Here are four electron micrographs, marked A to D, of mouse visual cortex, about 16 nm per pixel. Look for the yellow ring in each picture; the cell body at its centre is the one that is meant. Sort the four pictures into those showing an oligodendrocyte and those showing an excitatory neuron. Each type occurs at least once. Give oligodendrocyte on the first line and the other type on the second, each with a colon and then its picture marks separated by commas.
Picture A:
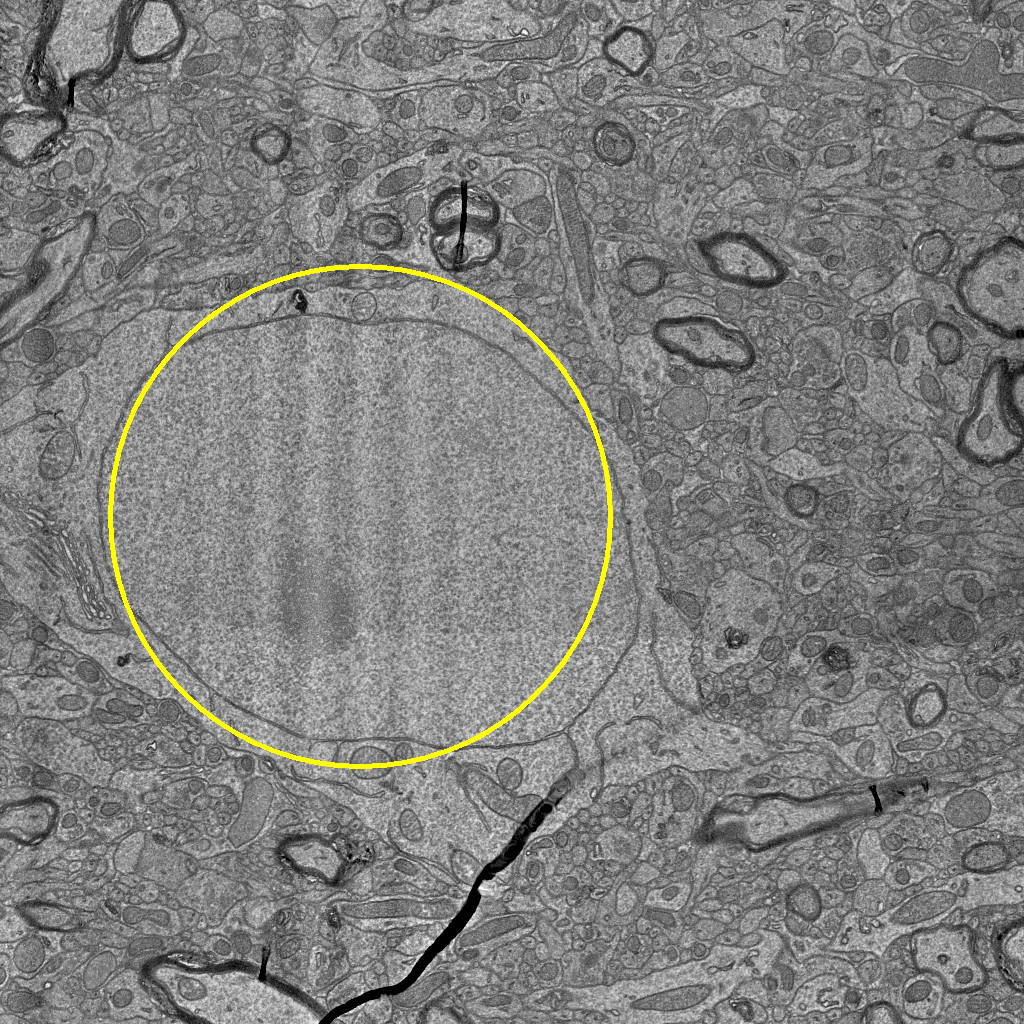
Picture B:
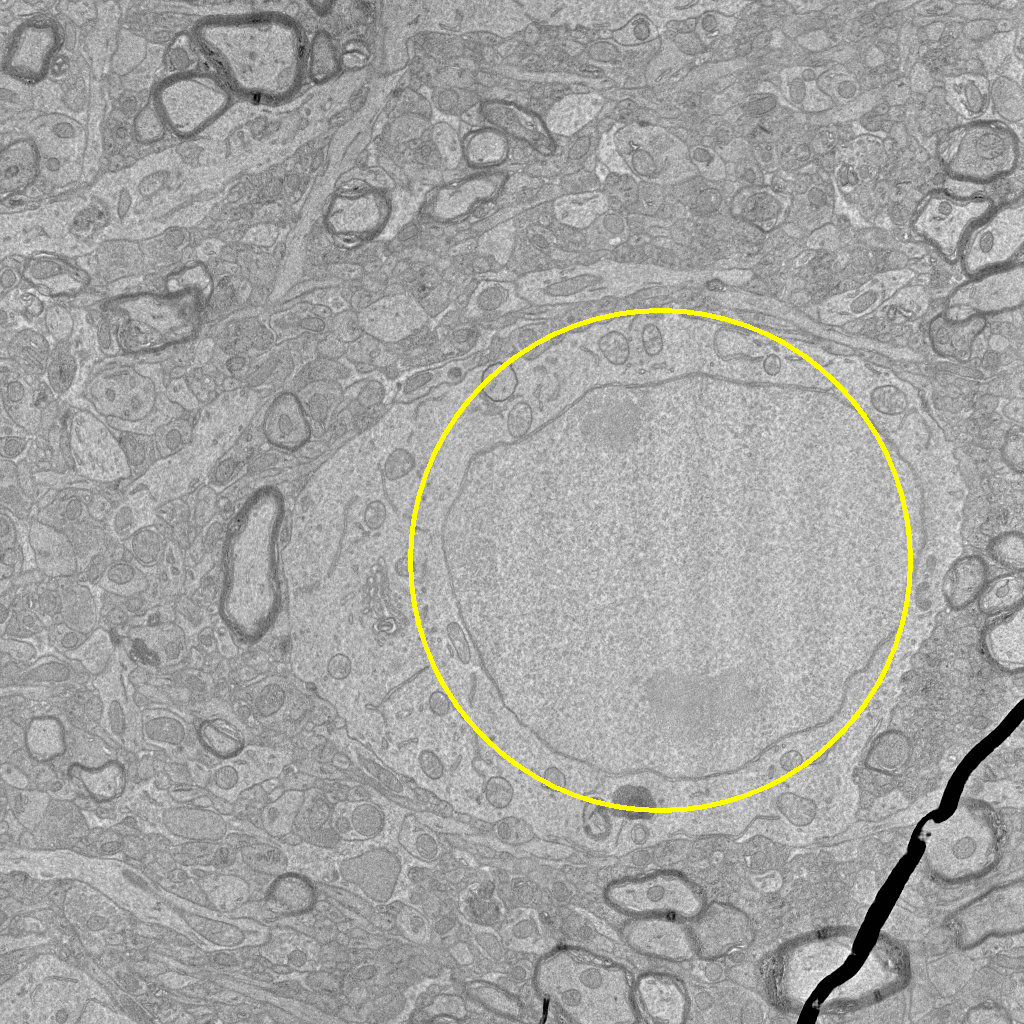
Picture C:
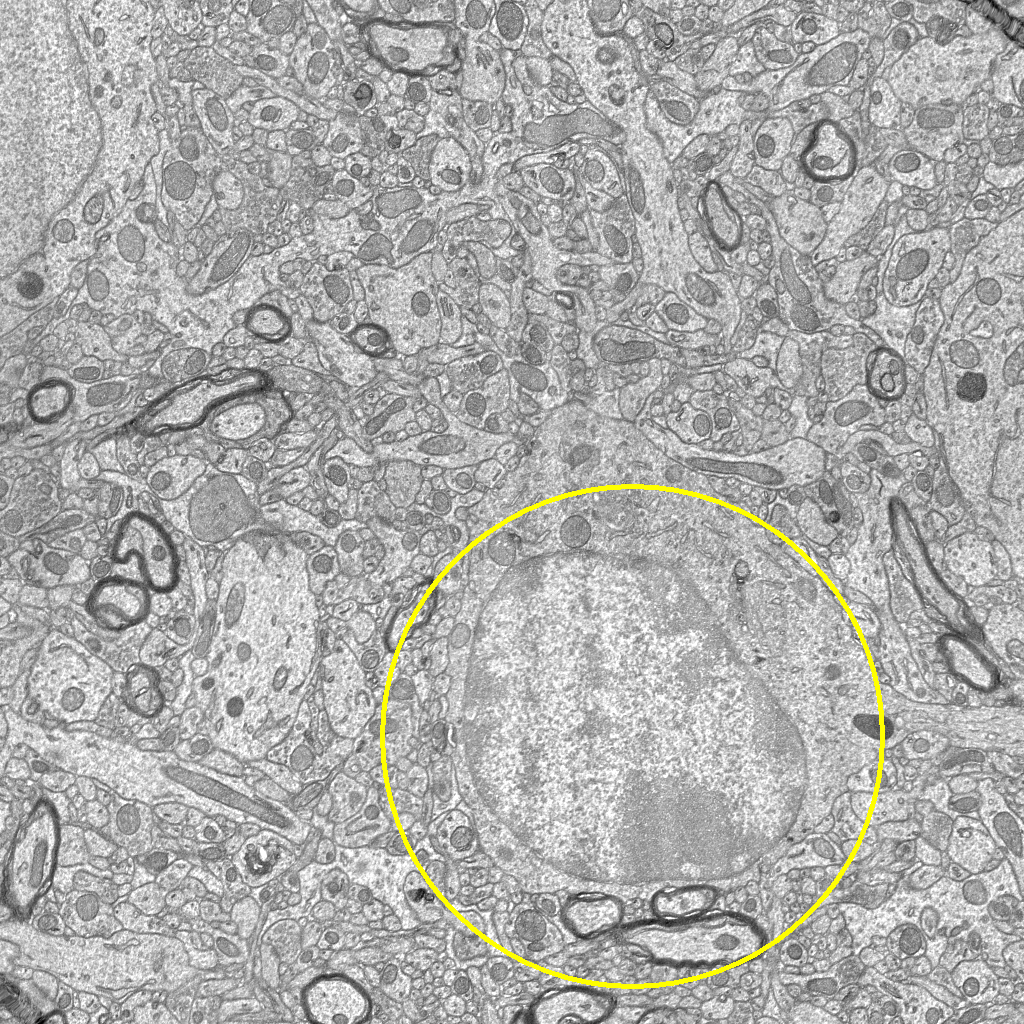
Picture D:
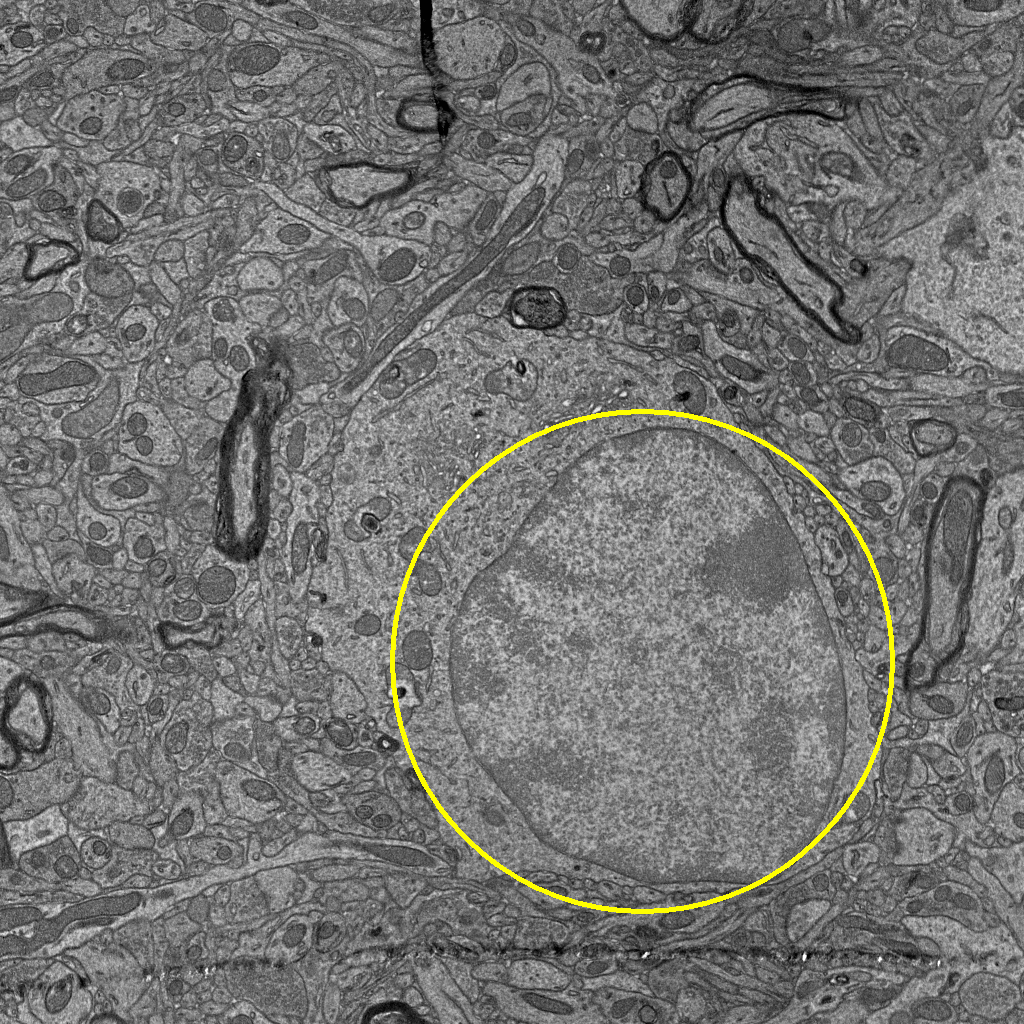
oligodendrocyte: C, D
excitatory neuron: A, B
